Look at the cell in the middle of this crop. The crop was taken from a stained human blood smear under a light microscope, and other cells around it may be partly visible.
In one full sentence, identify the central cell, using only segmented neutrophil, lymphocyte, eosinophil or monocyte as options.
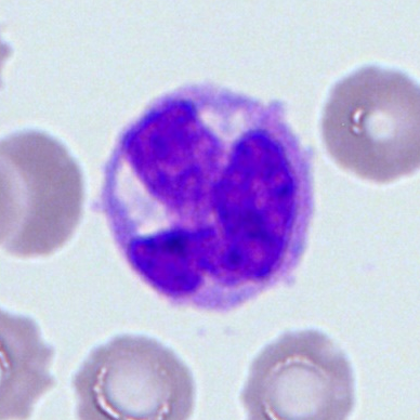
The cell in the exact centre of the crop is a monocyte.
